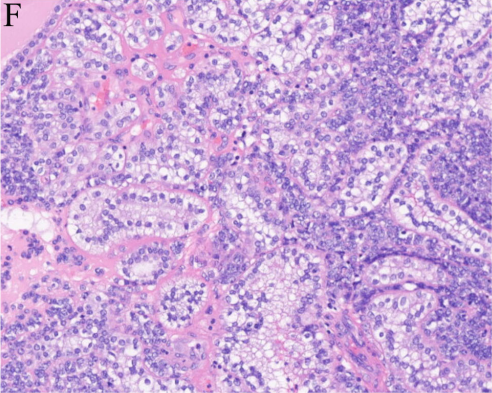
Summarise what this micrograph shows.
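This field shows crowded epithelial cells in nests and small tubular profiles, many of them with clear cytoplasm. The clear cells have pale, almost empty-looking cytoplasm with sharp cell borders, and small round nuclei. Between the groups run strands of pink, glassy stroma. In places the cells line small tubules with a lumen, and elsewhere they pack into solid sheets. Other areas hold denser cells with darker nuclei and less cytoplasm, giving the field a mixed, patchy look of pale and darker zones.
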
